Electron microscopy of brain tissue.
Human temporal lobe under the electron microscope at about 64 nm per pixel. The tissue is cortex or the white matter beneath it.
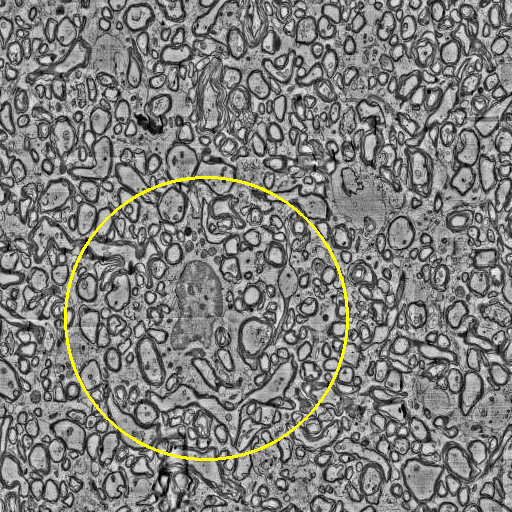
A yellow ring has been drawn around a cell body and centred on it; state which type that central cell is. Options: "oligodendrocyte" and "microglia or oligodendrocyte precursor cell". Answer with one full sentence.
The cell at the middle of the yellow ring is an oligodendrocyte in this picture.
